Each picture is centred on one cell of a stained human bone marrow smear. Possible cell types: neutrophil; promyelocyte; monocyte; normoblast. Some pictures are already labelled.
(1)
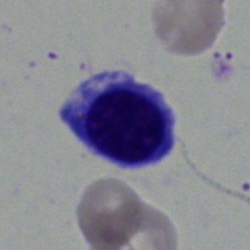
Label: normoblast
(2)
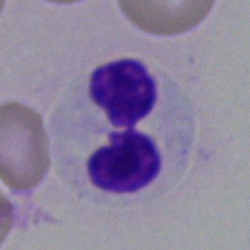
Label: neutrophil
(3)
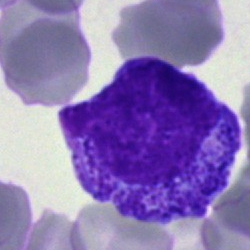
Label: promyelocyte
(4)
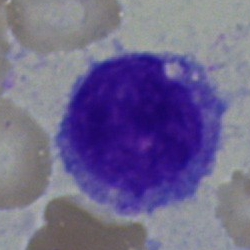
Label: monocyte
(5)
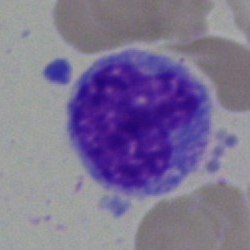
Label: monocyte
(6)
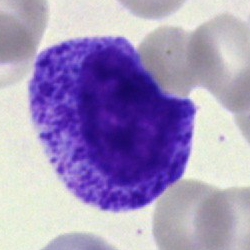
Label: promyelocyte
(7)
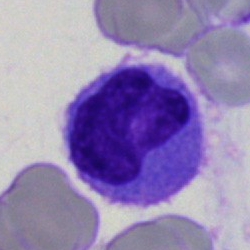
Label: monocyte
